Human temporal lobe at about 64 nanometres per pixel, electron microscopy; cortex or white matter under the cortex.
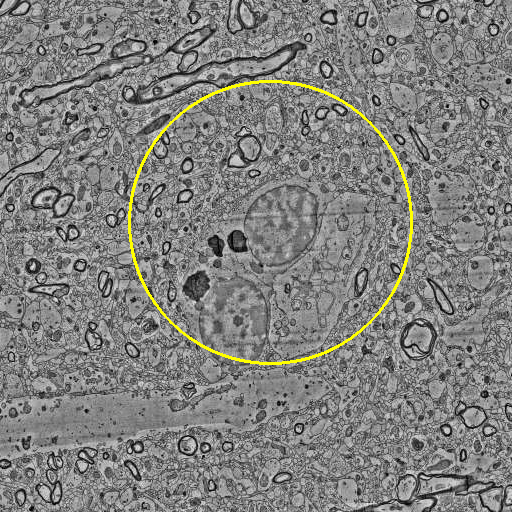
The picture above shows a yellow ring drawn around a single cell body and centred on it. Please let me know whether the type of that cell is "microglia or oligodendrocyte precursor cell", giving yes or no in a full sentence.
No, the cell at the centre of the ring above has a different type.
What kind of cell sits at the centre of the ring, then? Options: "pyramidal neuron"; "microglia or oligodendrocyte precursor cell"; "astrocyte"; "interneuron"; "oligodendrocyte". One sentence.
Instead, the cell at the centre of the ring is an oligodendrocyte.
